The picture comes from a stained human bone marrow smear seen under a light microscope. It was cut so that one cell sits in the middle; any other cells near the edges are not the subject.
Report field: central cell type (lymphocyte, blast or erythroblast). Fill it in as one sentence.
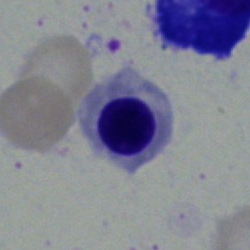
The central cell in this smear crop is an erythroblast.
